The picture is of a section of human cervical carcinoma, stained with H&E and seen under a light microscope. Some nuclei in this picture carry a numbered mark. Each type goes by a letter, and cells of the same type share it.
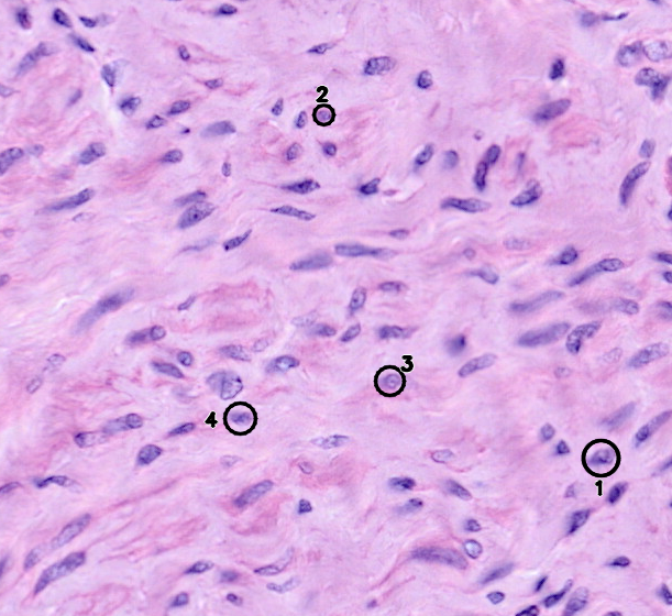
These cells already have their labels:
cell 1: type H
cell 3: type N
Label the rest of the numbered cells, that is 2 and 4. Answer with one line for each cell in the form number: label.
2: type N
4: type N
